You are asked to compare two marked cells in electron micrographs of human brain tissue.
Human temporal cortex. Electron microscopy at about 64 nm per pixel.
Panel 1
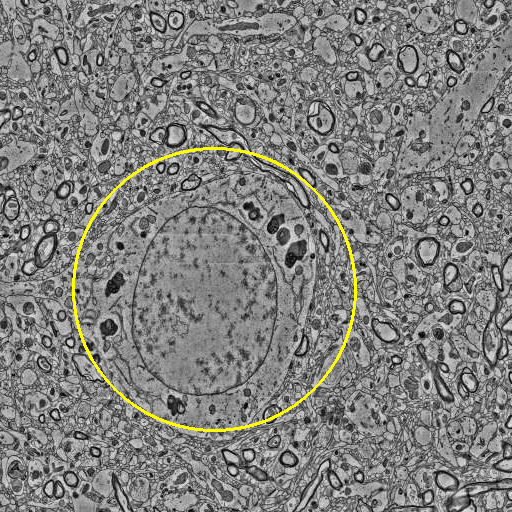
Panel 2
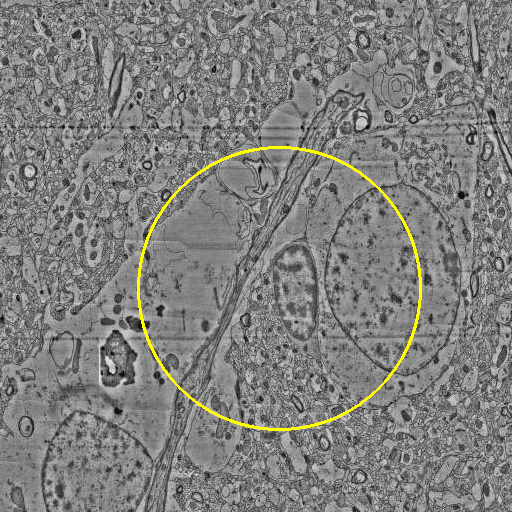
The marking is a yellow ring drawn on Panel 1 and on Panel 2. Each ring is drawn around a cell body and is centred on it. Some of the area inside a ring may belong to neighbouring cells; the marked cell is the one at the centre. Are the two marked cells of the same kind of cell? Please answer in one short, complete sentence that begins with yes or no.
No, the two marked cells are of two kinds.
